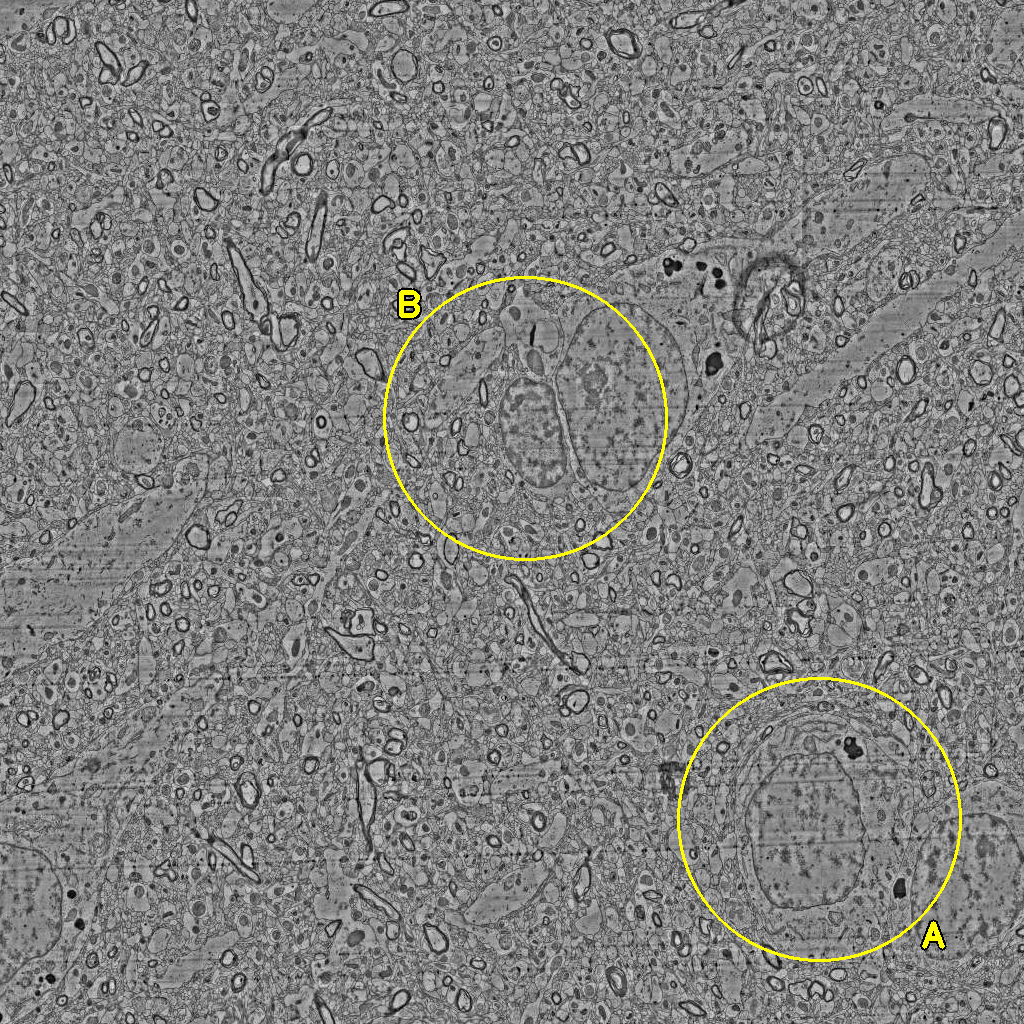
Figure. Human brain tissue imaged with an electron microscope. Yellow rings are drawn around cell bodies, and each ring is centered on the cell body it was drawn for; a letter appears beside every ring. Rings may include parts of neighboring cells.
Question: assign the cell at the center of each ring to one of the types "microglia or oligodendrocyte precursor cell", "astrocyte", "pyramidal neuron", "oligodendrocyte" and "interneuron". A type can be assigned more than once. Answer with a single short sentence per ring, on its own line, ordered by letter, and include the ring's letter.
Centered in ring A is a pyramidal neuron.
Centered in ring B is an oligodendrocyte.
